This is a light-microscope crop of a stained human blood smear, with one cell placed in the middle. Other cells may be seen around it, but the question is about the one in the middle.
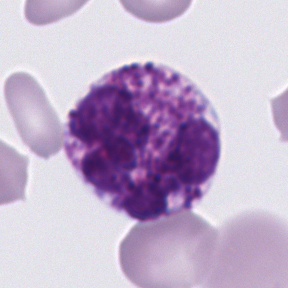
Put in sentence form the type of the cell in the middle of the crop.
The cell that lies at the centre of the crop is a basophil.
